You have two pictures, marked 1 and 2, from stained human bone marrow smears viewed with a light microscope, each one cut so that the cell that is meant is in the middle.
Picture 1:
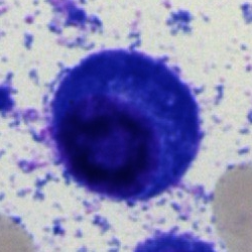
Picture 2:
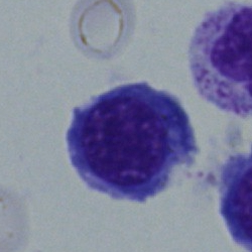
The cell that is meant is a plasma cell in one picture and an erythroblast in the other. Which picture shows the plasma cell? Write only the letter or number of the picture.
1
